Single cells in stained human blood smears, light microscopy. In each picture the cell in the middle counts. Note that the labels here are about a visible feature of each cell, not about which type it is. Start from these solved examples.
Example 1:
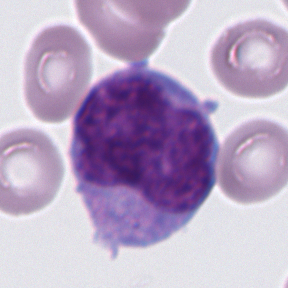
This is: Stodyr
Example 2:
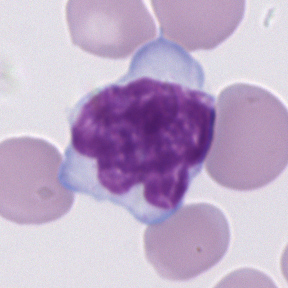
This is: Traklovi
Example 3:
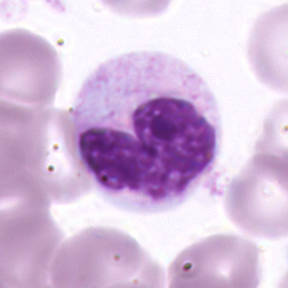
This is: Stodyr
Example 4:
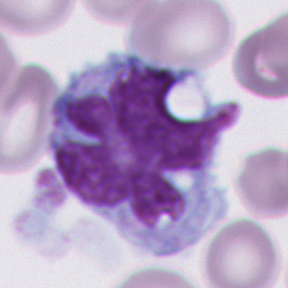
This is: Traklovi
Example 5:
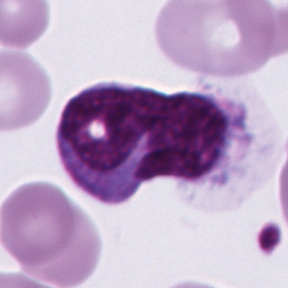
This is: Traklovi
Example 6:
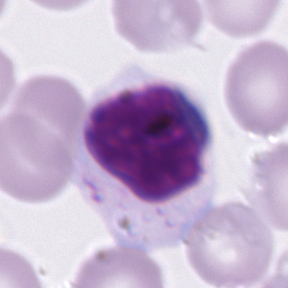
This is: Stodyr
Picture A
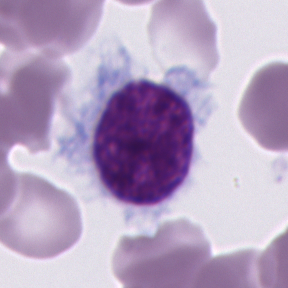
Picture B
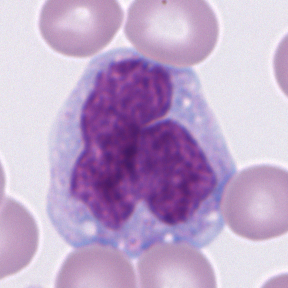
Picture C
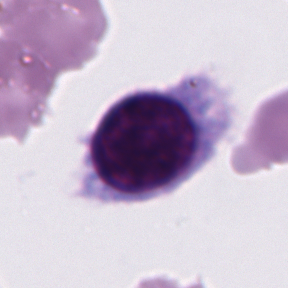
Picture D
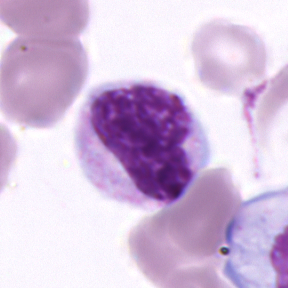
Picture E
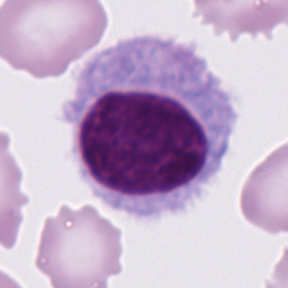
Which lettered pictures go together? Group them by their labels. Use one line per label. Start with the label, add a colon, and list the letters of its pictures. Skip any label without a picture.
Stodyr: A, C, D, E
Traklovi: B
